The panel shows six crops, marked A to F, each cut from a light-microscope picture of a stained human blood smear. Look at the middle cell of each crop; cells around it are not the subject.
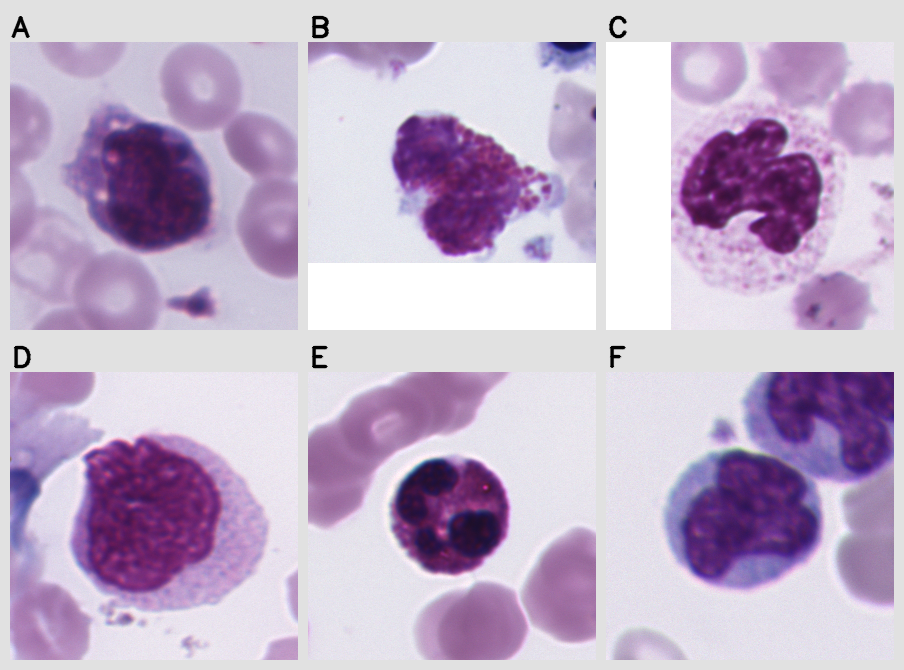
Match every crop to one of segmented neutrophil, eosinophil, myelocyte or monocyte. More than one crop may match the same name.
A: monocyte
B: eosinophil
C: segmented neutrophil
D: monocyte
E: eosinophil
F: monocyte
